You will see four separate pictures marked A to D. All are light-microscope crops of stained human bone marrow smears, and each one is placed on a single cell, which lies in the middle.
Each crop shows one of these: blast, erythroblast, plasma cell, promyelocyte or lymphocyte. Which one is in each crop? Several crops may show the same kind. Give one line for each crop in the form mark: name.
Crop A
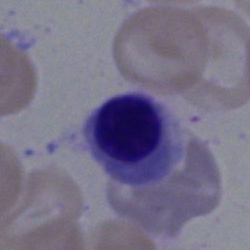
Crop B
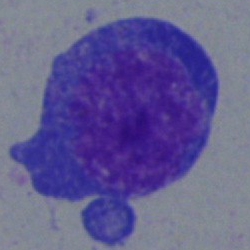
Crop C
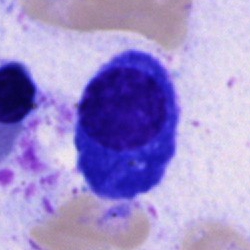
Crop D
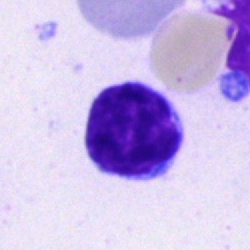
A: erythroblast
B: blast
C: plasma cell
D: lymphocyte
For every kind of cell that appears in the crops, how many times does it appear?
erythroblast: 1
blast: 1
plasma cell: 1
lymphocyte: 1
